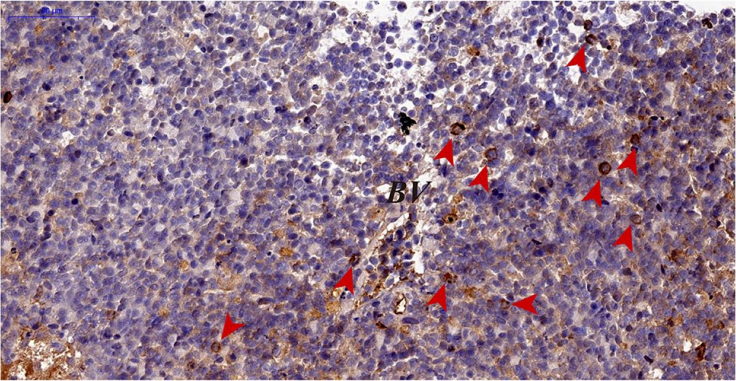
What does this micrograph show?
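The cells lie closely together with little space between them, and a narrow blood vessel runs obliquely through the centre of the field. A fainter diffuse brown tint also lies between cells in patches, especially toward the lower left. A few dark, almost black spots are visible near the vessel.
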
